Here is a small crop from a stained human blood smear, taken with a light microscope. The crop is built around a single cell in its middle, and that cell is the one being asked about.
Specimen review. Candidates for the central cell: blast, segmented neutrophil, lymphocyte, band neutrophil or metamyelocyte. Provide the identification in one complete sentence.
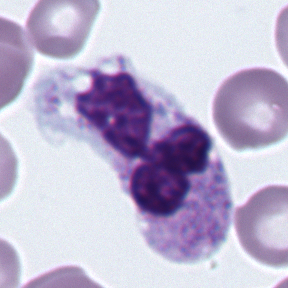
The cell the crop is centered on is a segmented neutrophil.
